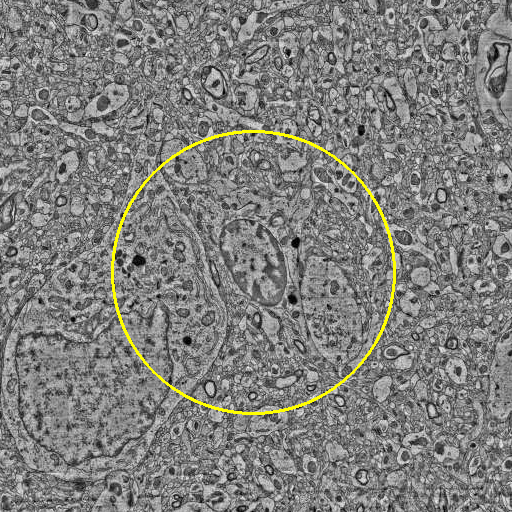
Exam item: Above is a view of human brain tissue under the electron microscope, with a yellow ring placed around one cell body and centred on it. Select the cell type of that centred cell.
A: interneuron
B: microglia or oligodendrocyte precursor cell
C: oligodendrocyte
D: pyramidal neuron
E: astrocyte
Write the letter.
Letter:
B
